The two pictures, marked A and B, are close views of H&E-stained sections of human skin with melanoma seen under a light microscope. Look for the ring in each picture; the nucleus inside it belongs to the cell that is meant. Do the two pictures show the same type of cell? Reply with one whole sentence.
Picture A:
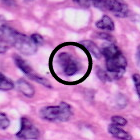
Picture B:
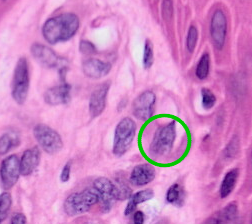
No, the types are not the same, since picture A shows a melanoma cell and picture B an endothelial cell.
